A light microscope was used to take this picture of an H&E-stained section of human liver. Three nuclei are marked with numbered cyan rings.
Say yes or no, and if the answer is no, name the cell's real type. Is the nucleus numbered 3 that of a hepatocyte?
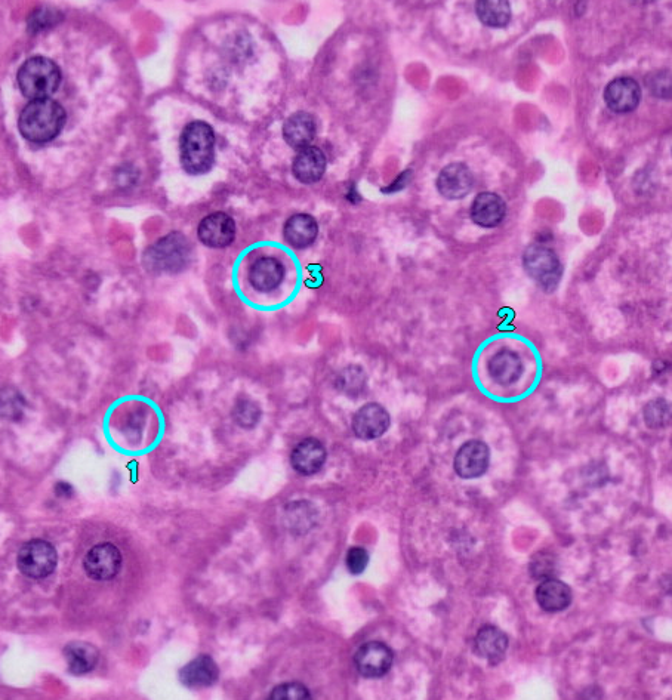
Yes.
